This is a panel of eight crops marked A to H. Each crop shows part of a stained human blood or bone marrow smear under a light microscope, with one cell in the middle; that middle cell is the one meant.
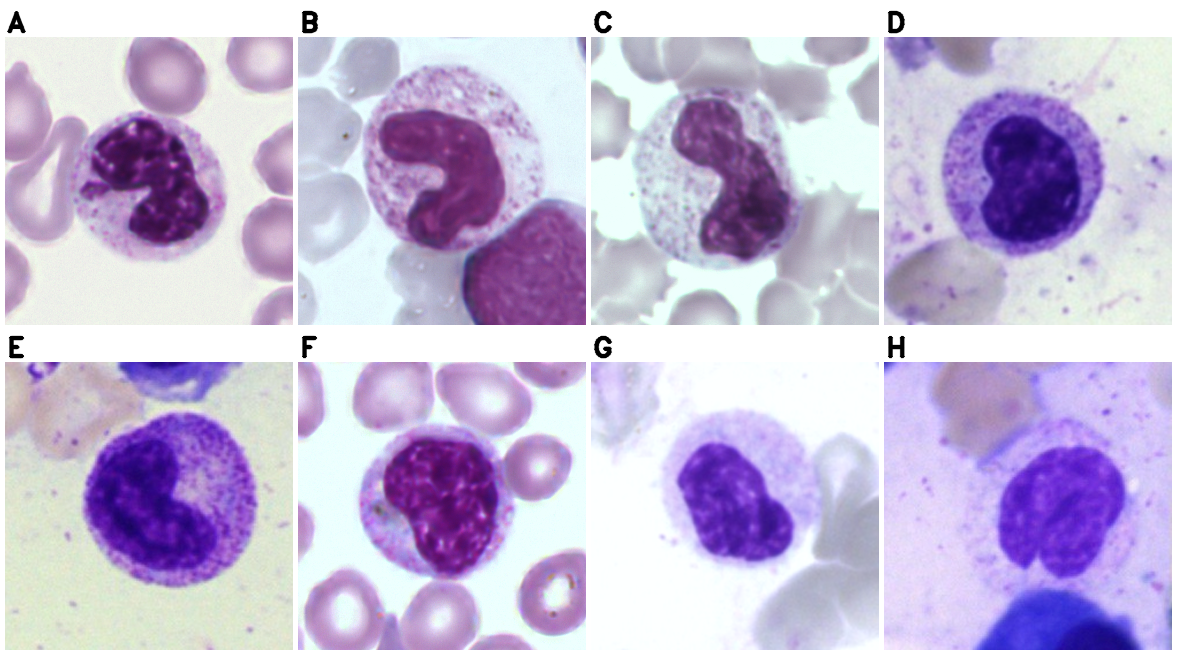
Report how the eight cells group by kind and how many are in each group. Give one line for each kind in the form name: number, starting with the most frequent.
band neutrophil: 5
metamyelocyte: 3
